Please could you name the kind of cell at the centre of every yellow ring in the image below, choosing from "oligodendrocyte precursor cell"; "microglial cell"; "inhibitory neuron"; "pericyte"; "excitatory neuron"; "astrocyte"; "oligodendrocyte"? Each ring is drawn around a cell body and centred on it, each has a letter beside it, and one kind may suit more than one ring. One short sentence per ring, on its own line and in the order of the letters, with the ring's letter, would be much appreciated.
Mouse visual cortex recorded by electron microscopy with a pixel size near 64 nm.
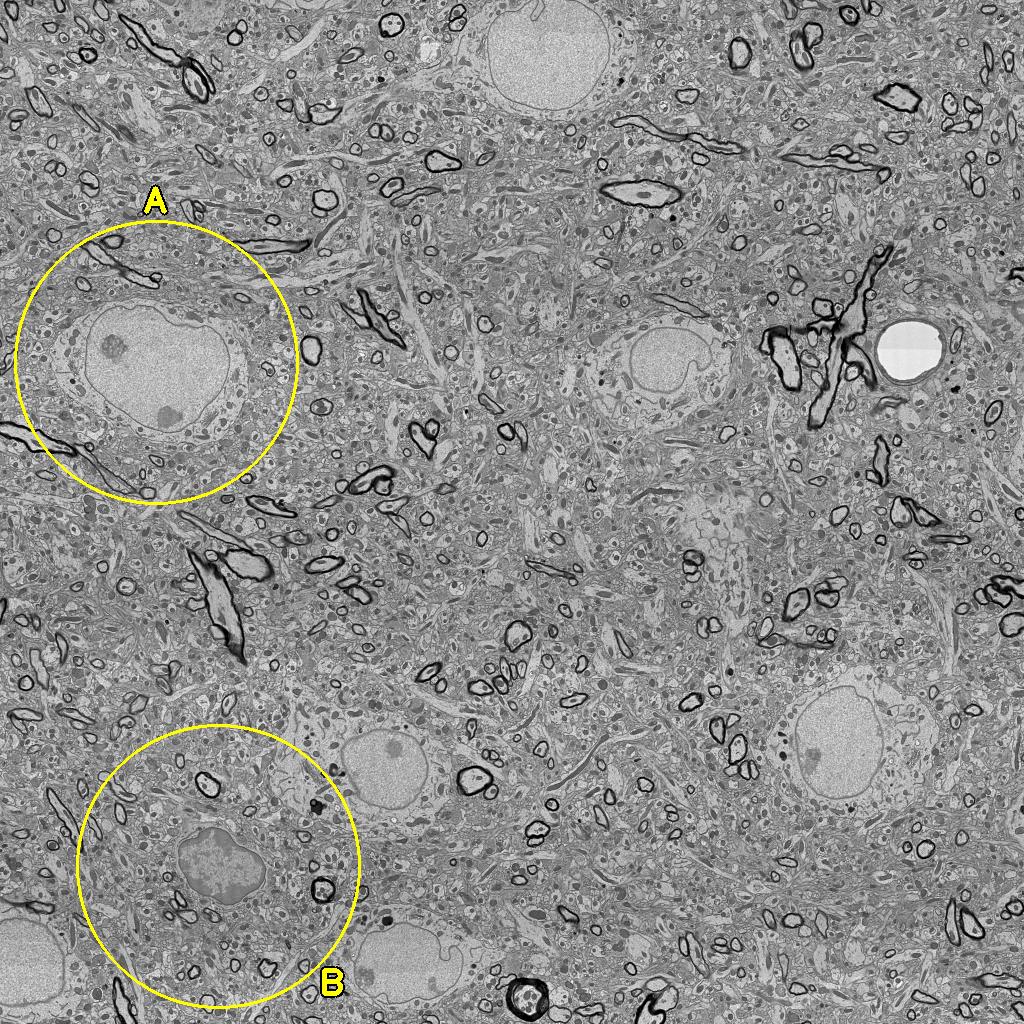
The cell in the middle of ring A is an excitatory neuron.
The cell in the middle of ring B is a microglial cell.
